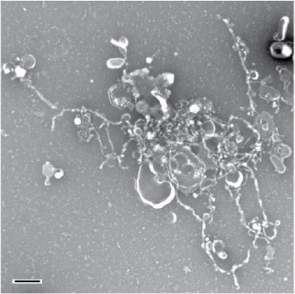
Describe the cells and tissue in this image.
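A negative-stained isolated Golgi complex seen as a loose cluster of pale membranes on a grey background. The centre holds flattened, irregular membrane sheets and many small round vesicles. From this cluster long, thin membrane tubules run outward in several directions, some branching and some curving, reaching well beyond the central mass. Small round beads or vesicles sit along and at the ends of several tubules. Membrane edges appear light against the darker surrounding stain, and a few detached round vesicles lie scattered nearby.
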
